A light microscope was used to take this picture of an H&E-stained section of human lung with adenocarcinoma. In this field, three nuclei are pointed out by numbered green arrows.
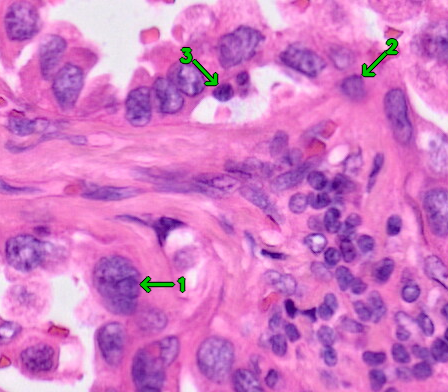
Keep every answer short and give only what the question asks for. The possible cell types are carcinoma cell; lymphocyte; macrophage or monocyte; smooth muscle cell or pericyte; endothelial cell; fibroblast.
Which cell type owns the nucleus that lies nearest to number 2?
carcinoma cell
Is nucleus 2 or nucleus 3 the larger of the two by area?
2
